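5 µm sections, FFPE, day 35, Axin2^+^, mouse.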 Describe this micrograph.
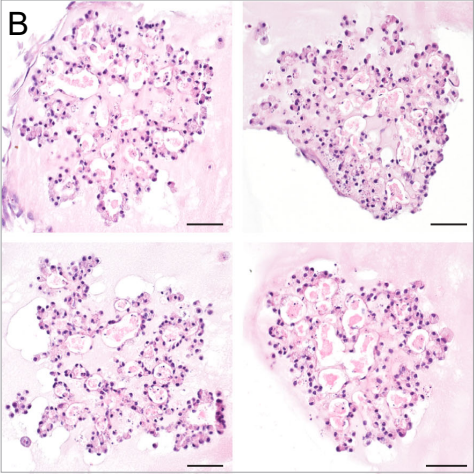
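Four rounded clusters of cells in a pale pink matrix. Each is honeycombed by many small, irregular open spaces. Some lining cells are thin and flattened around the spaces, and others are plumper and rounder with dark purple nuclei, many of them at the outer edge. This resembles lung alveolar tissue in miniature, with cavities lined by flat, thin cells and rounder cells like the two kinds of alveolar lining cells.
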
